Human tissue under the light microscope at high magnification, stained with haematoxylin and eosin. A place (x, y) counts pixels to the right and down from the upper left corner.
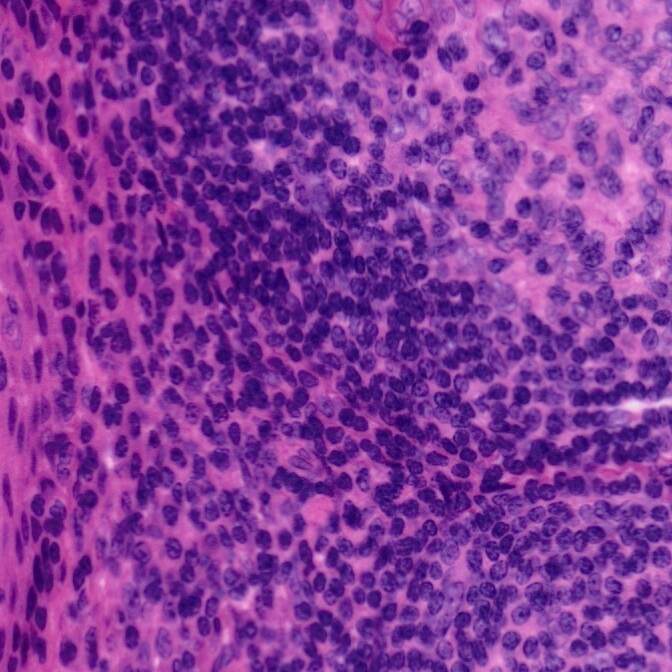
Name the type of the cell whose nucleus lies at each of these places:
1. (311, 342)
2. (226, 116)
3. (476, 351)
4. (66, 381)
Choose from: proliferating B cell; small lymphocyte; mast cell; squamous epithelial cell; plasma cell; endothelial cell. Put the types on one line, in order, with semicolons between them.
small lymphocyte; small lymphocyte; small lymphocyte; squamous epithelial cell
